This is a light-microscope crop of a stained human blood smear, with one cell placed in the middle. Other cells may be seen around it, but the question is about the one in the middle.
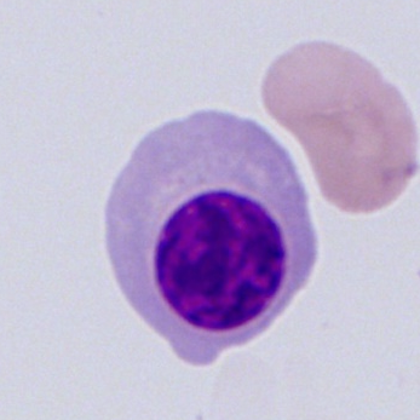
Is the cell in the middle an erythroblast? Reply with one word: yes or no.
yes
